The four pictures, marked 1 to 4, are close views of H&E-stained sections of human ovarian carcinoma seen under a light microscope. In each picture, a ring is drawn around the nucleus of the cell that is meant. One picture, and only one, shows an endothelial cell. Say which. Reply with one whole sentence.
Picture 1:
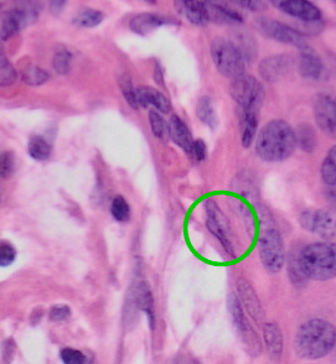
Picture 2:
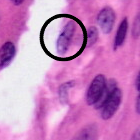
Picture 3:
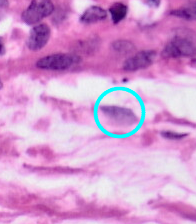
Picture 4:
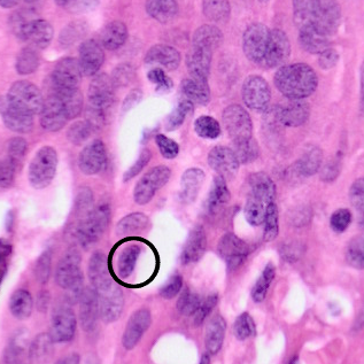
Picture 1 is the one that shows the endothelial cell.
